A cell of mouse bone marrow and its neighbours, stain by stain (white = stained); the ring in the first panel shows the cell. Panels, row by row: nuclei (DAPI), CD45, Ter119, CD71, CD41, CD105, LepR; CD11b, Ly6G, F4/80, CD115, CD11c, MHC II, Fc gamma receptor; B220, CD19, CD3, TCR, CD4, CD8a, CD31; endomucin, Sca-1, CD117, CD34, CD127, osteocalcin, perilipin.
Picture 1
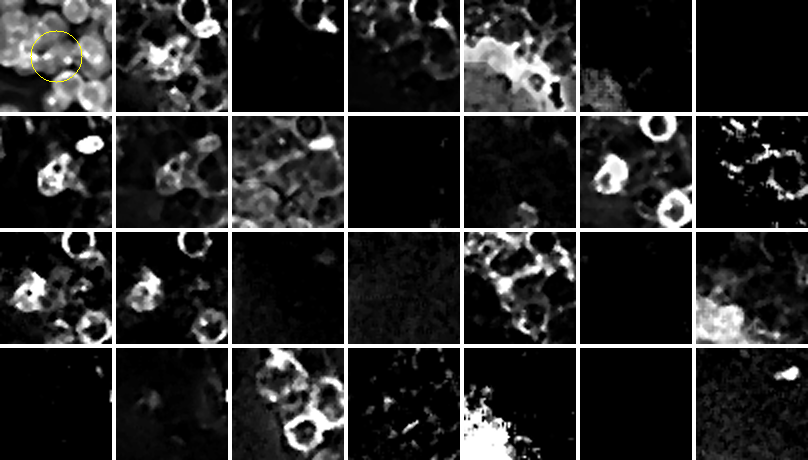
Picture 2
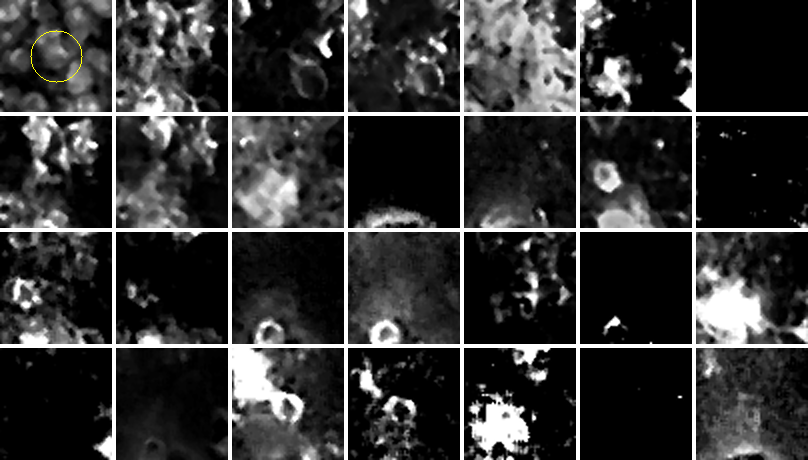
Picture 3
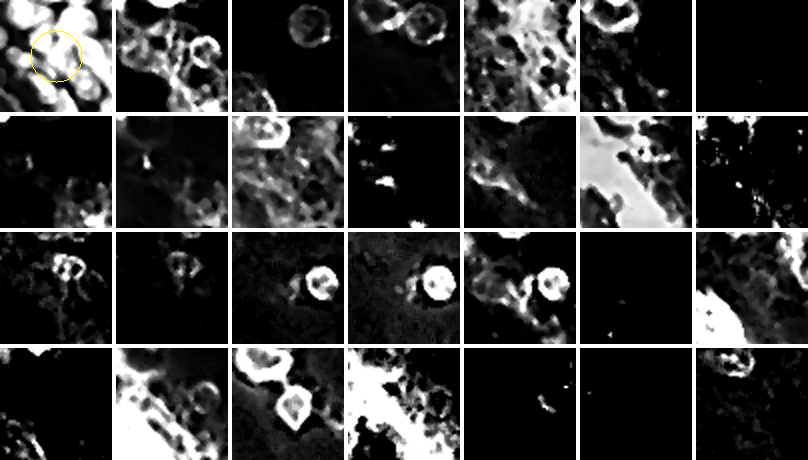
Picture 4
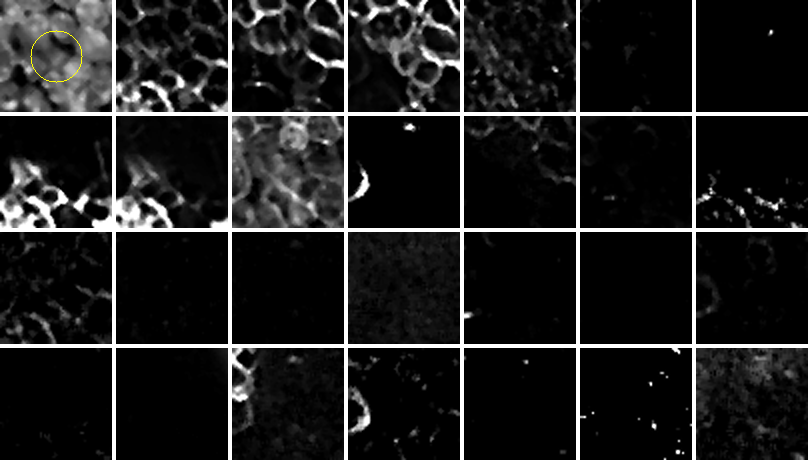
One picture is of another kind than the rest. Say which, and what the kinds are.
Picture 4 shows an erythroblast; the rest show megakaryocyte progenitors.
